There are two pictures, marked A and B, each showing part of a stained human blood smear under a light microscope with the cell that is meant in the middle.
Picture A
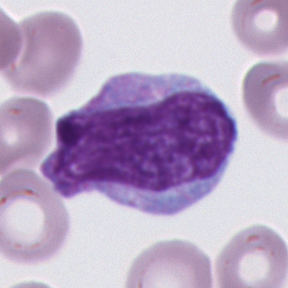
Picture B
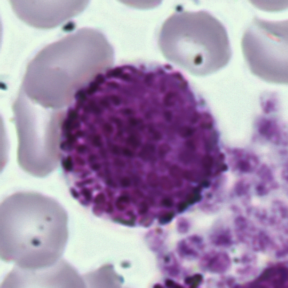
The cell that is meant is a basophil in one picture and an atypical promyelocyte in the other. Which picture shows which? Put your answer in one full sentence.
Picture A is of an atypical promyelocyte, and picture B is of a basophil.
